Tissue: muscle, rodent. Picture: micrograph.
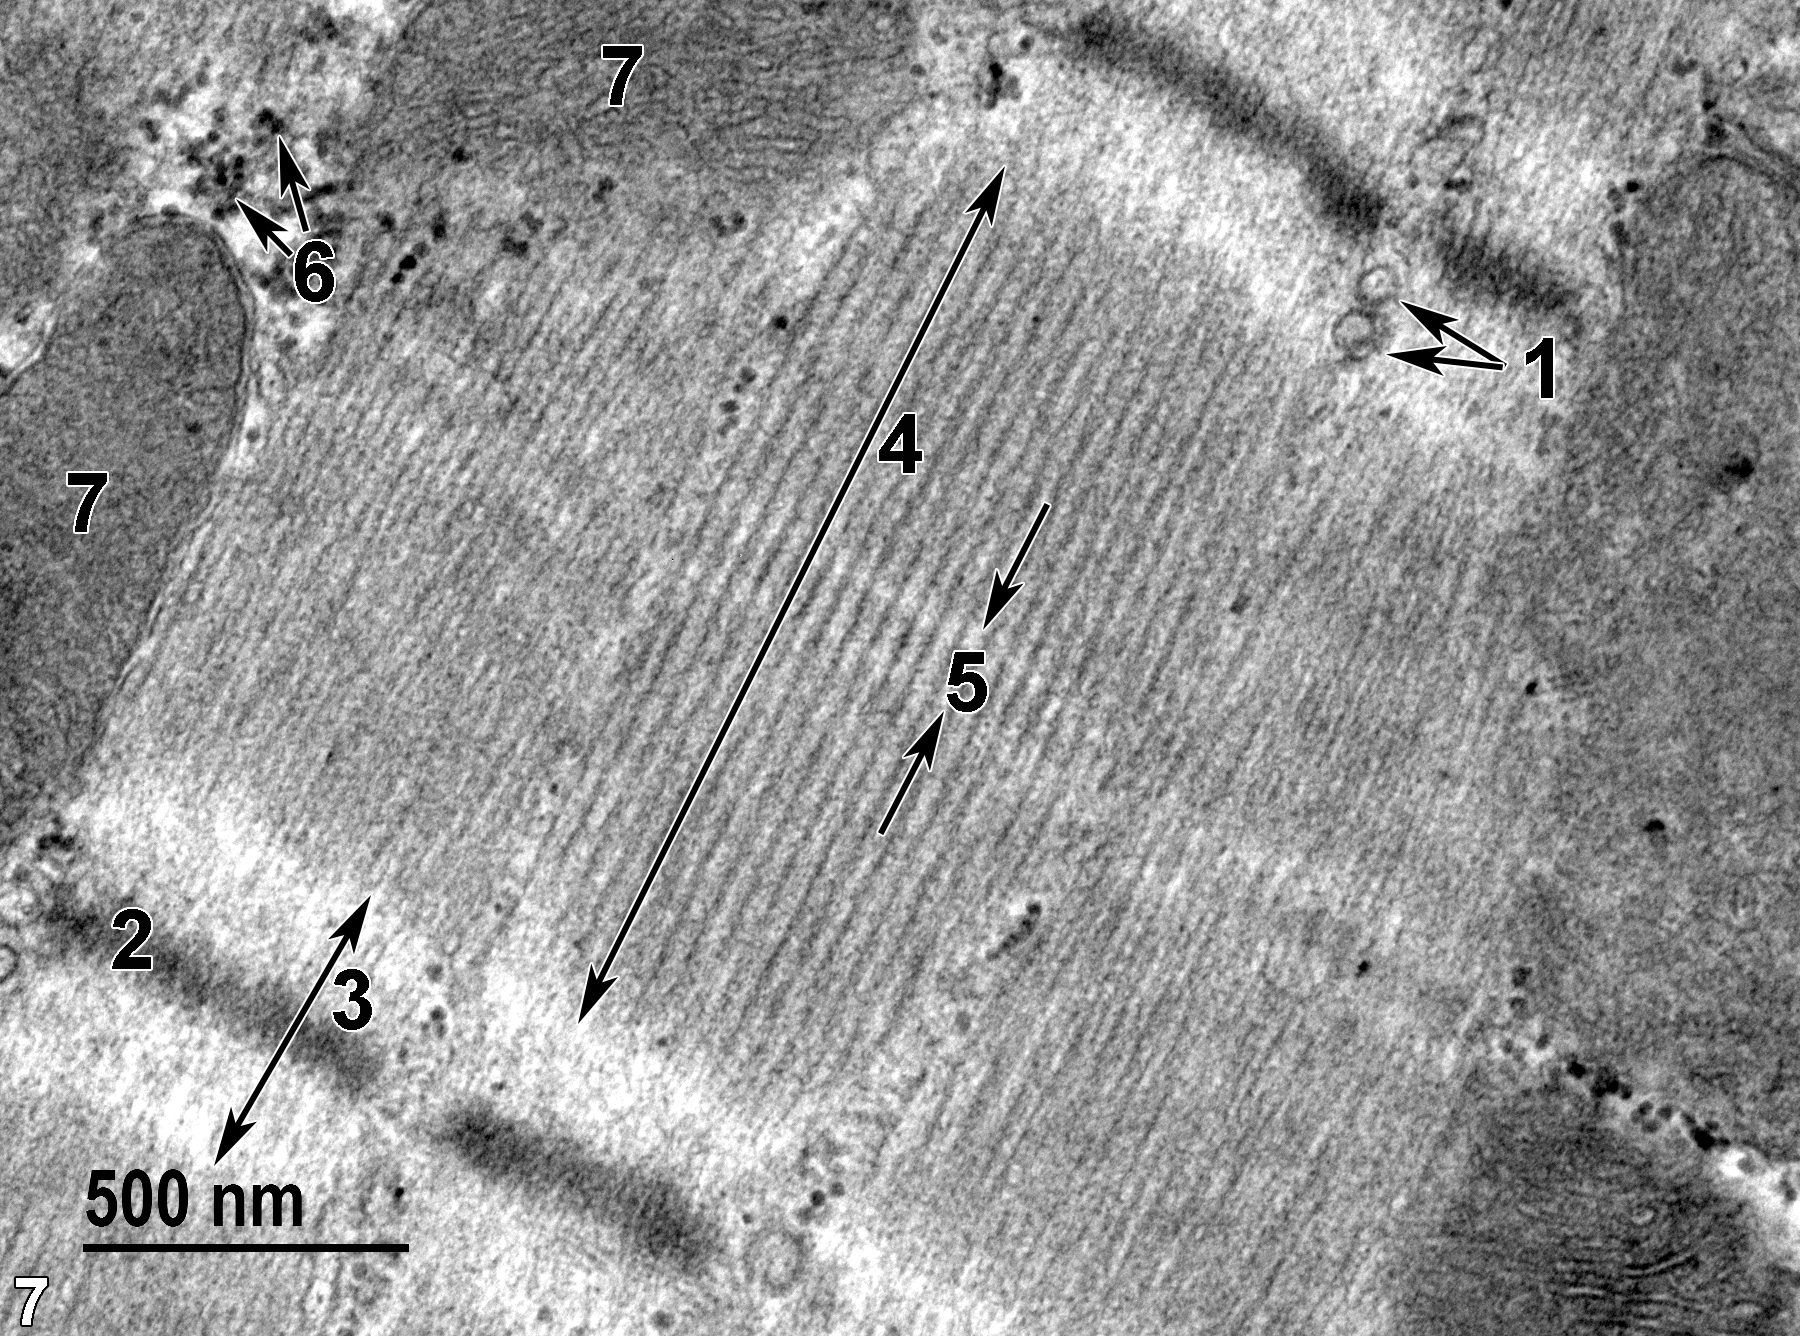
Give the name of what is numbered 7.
The number 7 marks the mitochondria.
